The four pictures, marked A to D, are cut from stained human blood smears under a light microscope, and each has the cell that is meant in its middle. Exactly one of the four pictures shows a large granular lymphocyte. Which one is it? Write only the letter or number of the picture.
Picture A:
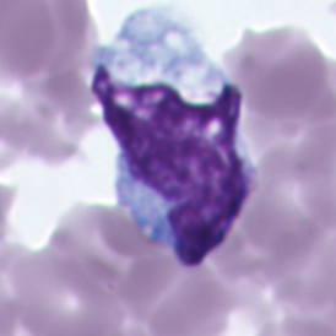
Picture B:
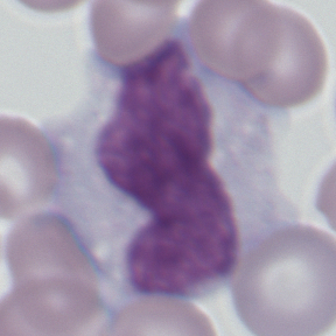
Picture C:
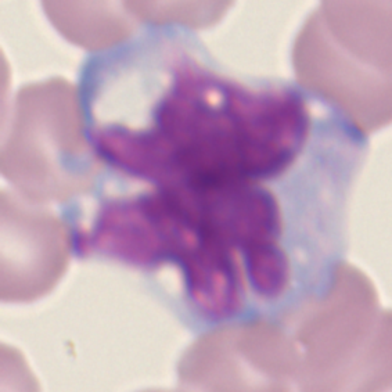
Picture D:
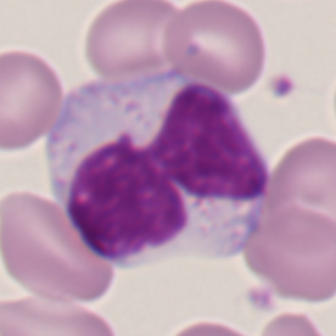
D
